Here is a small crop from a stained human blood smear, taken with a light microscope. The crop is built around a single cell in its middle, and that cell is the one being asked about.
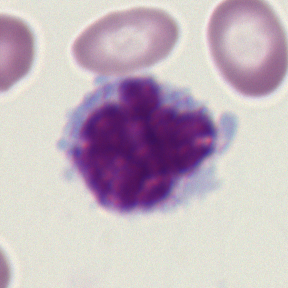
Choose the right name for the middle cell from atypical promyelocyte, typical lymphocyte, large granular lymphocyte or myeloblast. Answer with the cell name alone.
large granular lymphocyte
